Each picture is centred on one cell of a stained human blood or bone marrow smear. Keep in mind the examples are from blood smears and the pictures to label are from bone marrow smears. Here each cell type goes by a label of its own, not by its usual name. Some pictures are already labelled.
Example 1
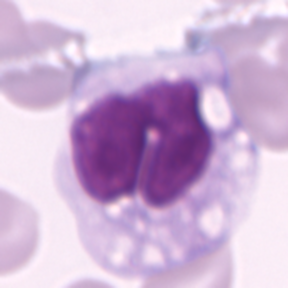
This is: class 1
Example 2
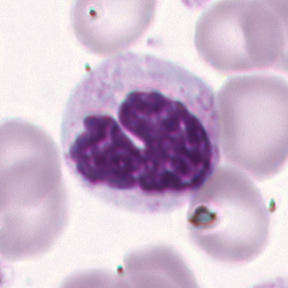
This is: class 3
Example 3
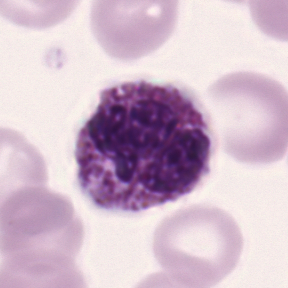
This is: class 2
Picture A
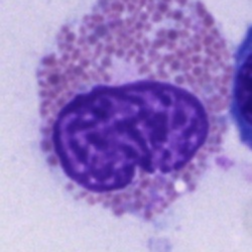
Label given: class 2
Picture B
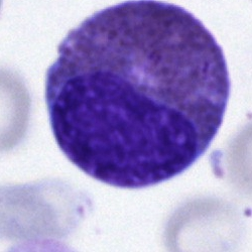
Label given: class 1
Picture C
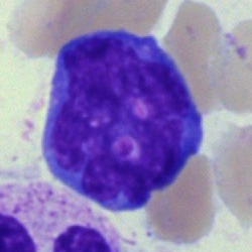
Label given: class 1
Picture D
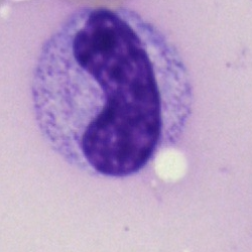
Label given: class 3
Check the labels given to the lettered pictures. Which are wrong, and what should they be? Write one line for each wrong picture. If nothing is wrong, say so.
Wrong: B (class 1); correct: class 2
